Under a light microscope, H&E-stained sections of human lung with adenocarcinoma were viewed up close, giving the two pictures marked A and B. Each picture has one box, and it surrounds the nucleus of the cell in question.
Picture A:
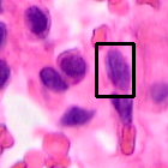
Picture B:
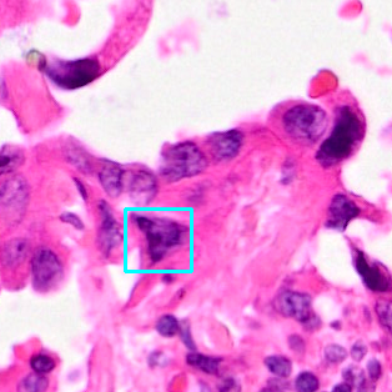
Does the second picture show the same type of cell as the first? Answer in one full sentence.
No; the cell in picture A is a type I pneumocyte, while the one in picture B is a carcinoma cell.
